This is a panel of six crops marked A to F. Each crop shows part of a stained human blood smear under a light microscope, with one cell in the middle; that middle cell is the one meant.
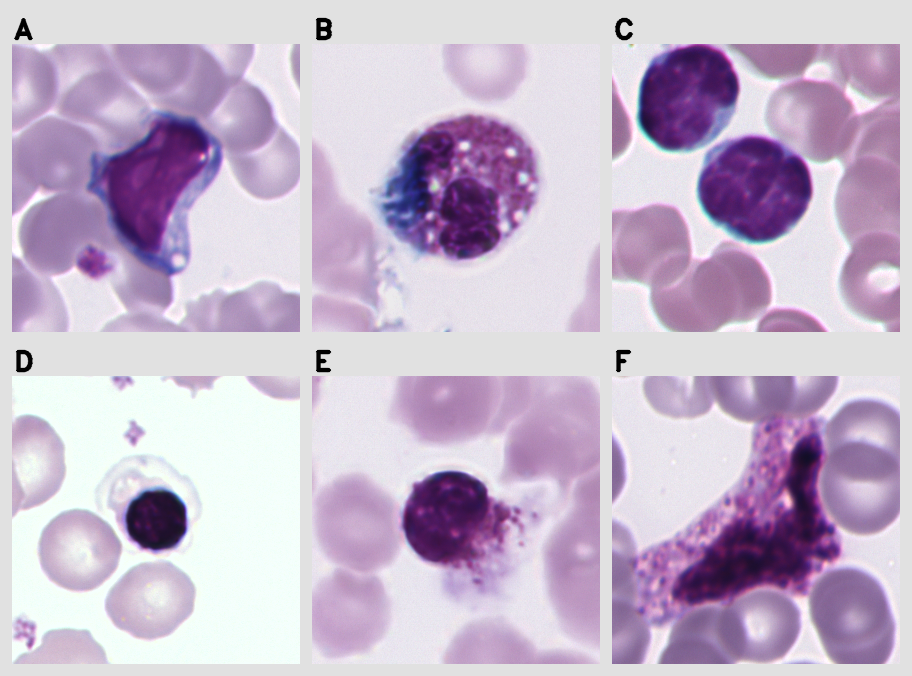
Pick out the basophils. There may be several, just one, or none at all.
F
